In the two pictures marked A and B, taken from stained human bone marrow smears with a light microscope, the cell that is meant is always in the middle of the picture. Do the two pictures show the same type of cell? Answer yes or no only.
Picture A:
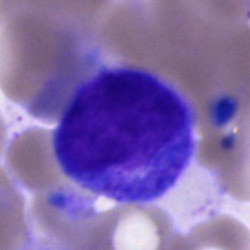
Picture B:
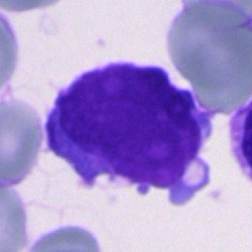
no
